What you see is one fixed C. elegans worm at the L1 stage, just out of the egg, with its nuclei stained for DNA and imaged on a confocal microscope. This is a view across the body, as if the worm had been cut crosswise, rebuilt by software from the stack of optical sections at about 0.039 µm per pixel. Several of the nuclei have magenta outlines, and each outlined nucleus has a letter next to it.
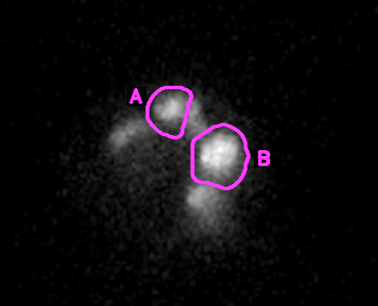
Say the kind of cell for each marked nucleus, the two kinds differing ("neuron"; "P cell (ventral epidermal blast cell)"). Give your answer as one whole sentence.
The nucleus A is that of a P cell (ventral epidermal blast cell), while B is that of a neuron.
